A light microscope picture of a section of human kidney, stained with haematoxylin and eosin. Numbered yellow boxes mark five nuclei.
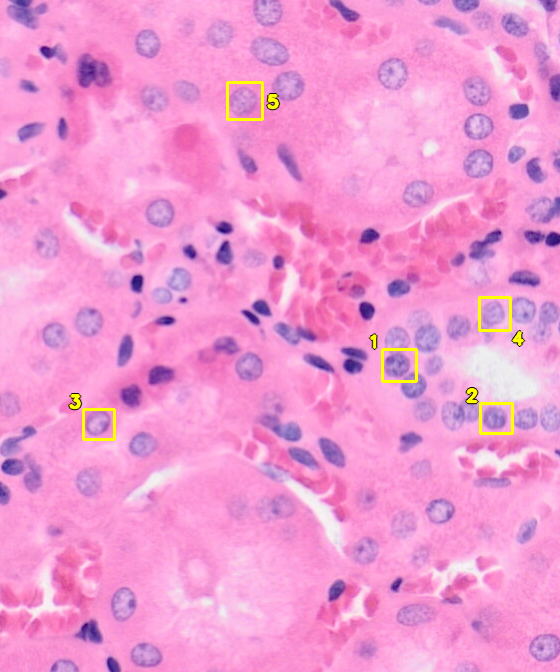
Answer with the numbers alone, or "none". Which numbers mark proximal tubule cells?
3, 5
